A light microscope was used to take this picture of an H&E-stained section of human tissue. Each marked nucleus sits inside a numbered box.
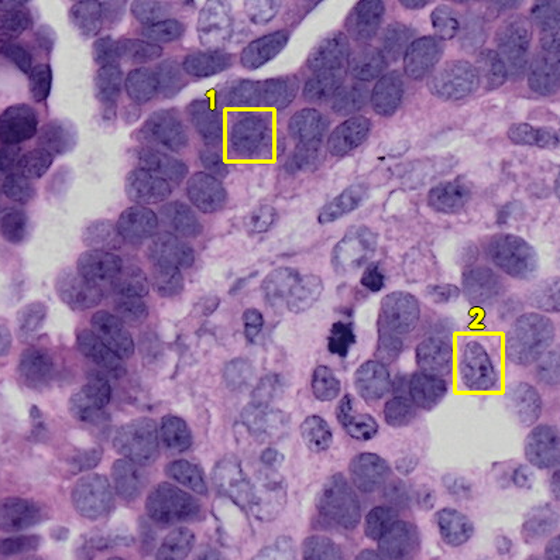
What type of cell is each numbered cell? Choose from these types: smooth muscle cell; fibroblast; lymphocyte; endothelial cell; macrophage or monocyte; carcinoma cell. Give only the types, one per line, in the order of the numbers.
carcinoma cell
macrophage or monocyte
